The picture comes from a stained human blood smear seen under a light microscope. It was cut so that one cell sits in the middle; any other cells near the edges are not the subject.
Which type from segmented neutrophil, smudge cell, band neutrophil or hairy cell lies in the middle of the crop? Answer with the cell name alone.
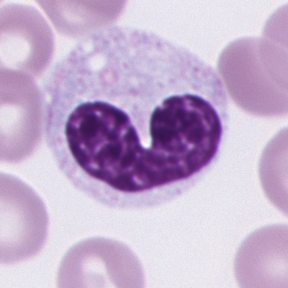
band neutrophil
